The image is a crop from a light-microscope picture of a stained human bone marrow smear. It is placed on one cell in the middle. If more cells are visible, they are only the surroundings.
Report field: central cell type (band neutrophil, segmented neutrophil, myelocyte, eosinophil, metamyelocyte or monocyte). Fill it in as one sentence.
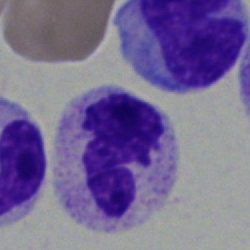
The cell centred in this crop is categorized as a segmented neutrophil.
